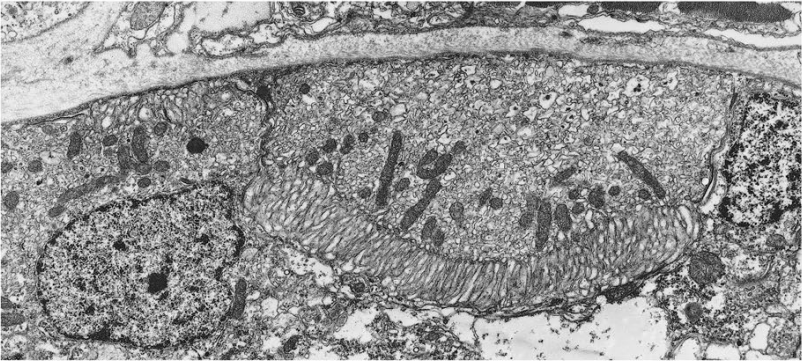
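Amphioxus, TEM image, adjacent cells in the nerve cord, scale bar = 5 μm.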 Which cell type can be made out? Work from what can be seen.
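Joseph cells. Two large neighbouring cells lie side by side beneath a thick band of extracellular matrix. One cell holds a broad band of densely packed, finely striated projections.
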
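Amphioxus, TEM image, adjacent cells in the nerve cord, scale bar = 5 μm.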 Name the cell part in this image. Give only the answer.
microvillar array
